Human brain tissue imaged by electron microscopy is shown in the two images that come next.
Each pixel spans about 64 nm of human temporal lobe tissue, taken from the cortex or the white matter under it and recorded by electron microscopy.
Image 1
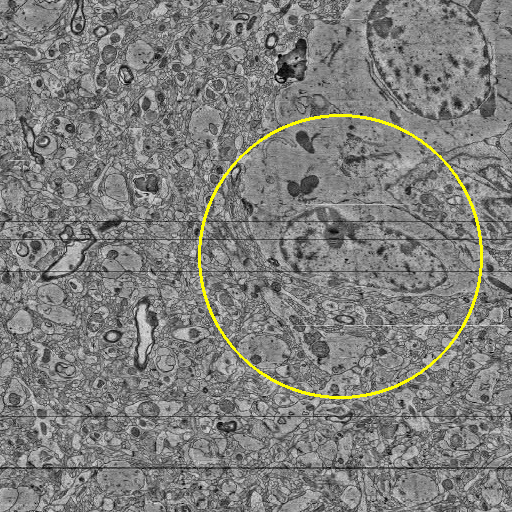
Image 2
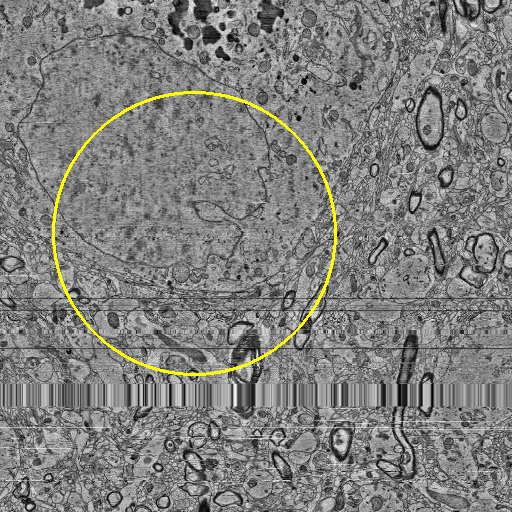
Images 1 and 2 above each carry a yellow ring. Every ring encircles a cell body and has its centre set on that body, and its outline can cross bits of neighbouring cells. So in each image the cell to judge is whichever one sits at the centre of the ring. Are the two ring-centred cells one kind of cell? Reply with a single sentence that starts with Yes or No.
No, in Image 1 and Image 2 the cells at the centres of their rings fall into two types.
